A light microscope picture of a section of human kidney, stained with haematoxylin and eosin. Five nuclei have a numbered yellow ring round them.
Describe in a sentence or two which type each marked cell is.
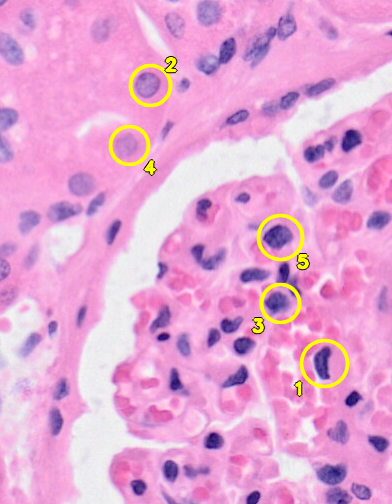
Cells 1, 3 and 5 are endothelial cells. Cells 2 and 4 are proximal tubule cells.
